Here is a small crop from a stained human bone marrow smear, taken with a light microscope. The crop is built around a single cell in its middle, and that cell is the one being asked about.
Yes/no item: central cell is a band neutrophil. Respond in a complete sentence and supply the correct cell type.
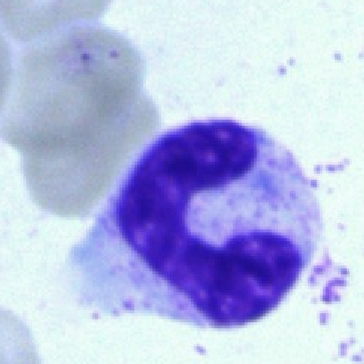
Yes, a band neutrophil is present in the middle of the crop.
